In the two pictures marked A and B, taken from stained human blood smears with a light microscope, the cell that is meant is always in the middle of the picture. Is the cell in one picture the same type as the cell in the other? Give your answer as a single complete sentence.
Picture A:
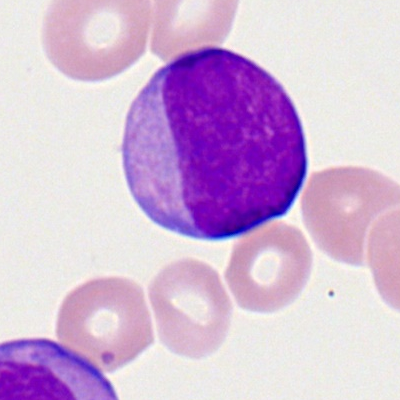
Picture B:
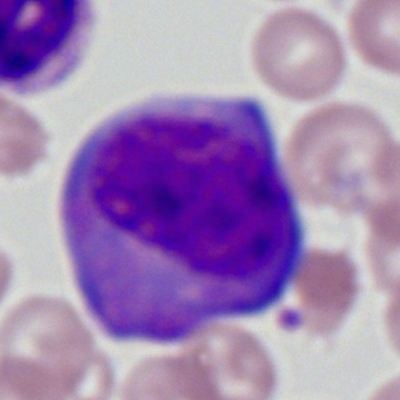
Yes; the cells in both pictures are myeloblasts.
